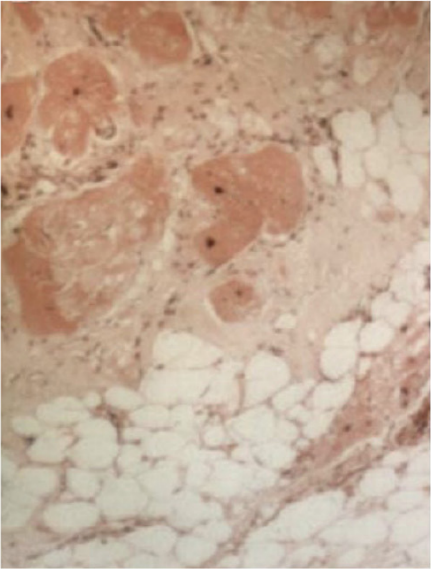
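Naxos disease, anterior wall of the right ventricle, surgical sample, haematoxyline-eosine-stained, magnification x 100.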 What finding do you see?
Fibrosis.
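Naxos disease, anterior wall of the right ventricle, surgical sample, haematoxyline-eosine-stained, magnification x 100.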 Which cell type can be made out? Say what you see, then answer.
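Myocardial fibers. Irregular islands of deep pink cytoplasm with a few dark nuclei. The islands are separated from each other by paler tissue.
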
